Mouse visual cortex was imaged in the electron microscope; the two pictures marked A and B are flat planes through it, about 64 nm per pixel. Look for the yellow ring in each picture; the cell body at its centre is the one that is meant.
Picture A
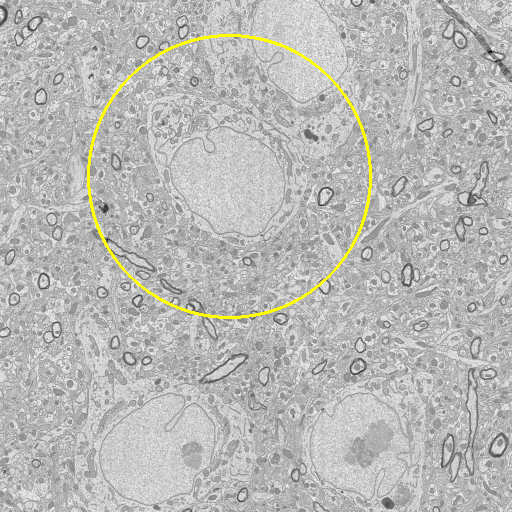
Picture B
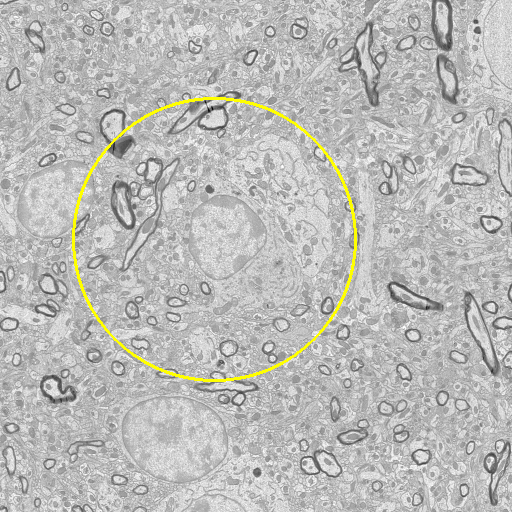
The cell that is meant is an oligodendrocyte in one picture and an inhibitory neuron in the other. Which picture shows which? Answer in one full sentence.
Picture B shows an oligodendrocyte, while picture A shows an inhibitory neuron.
